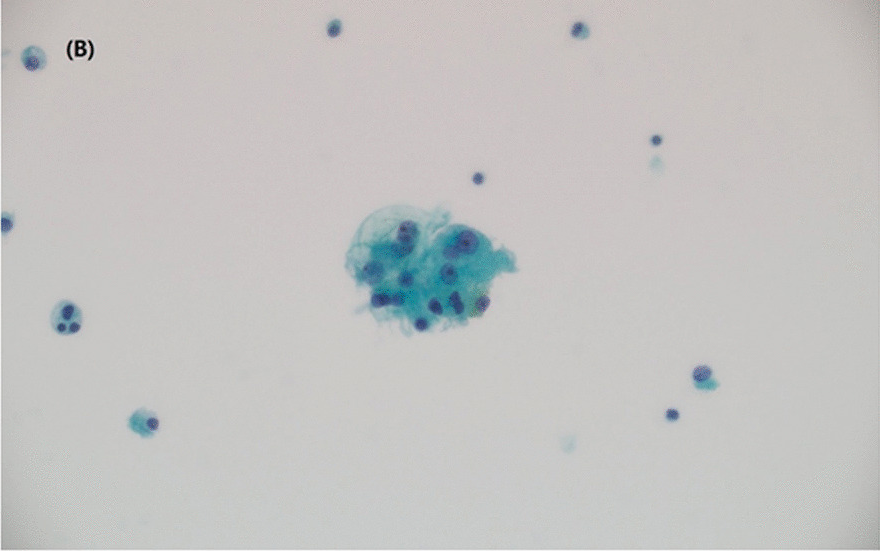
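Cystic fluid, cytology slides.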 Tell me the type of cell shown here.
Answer: Atypical cells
